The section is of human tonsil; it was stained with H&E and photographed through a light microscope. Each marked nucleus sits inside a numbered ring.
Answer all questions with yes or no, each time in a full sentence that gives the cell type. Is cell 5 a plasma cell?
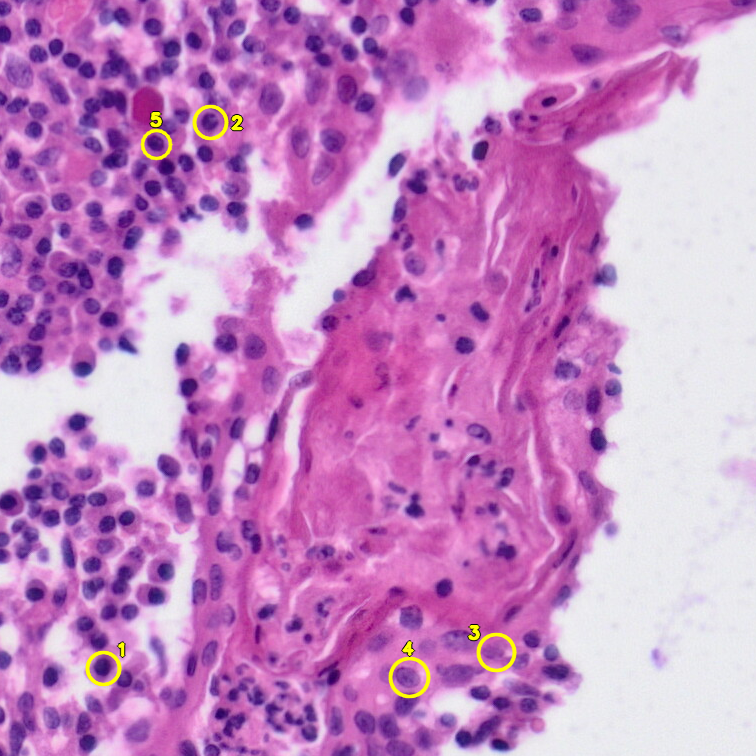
Yes, in this section the cell with number 5 is a plasma cell.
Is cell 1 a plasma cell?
Yes, the cell with number 1 is a plasma cell.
